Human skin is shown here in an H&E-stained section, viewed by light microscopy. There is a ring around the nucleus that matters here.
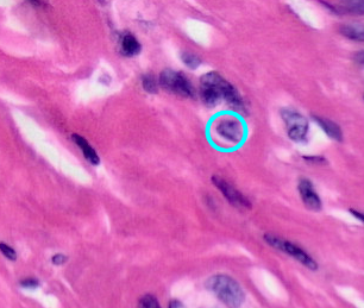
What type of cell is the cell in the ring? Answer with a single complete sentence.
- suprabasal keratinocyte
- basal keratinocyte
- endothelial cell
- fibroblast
This is an endothelial cell.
